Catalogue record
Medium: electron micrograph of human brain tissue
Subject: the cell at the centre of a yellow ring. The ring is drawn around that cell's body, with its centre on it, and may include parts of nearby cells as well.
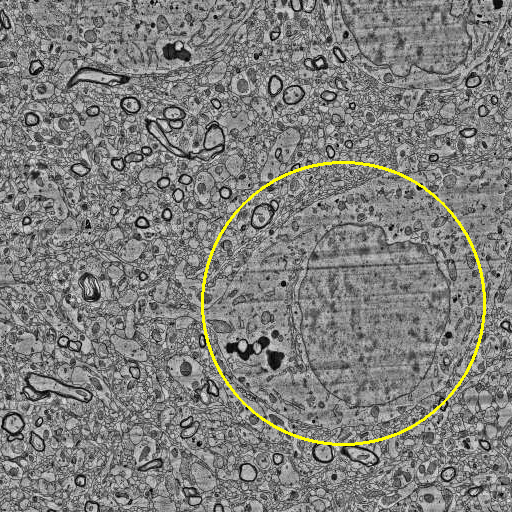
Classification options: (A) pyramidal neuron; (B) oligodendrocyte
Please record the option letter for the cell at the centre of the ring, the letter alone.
A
